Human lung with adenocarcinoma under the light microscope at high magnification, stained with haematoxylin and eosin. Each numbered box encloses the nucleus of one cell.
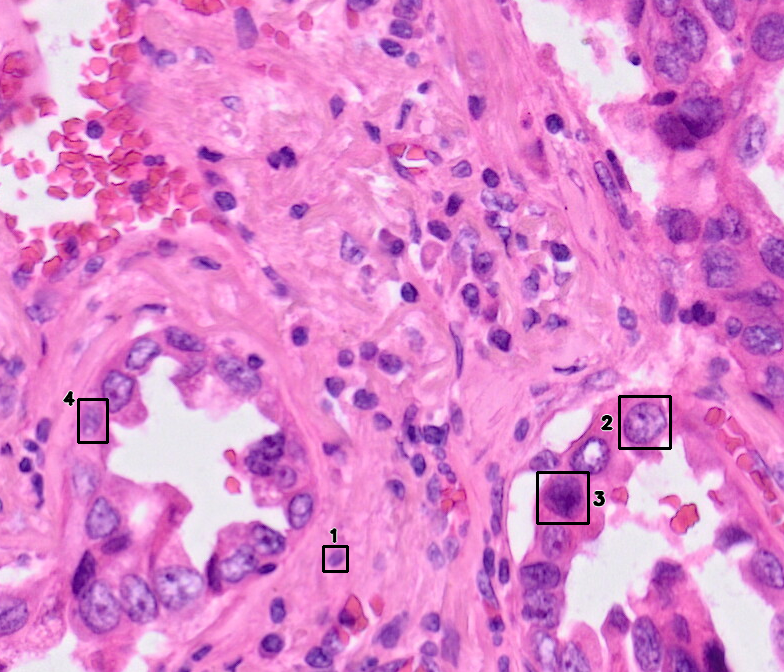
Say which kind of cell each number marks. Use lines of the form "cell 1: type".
cell 1: lymphocyte
cell 2: carcinoma cell
cell 3: carcinoma cell
cell 4: carcinoma cell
